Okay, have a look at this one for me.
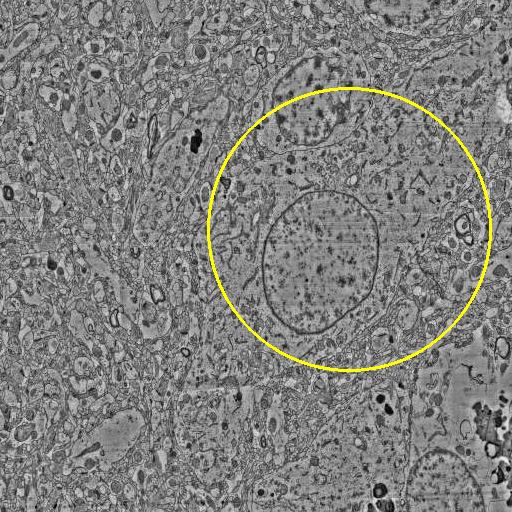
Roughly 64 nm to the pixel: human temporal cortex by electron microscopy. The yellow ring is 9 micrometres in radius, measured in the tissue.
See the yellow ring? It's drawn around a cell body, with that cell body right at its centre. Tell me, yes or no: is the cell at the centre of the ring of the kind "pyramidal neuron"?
Yes, it is of that kind.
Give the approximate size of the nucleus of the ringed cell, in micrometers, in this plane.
In this plane the nucleus measures roughly 10 by 7 micrometres.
